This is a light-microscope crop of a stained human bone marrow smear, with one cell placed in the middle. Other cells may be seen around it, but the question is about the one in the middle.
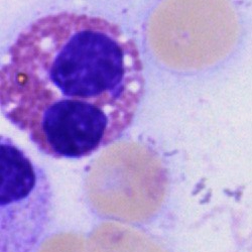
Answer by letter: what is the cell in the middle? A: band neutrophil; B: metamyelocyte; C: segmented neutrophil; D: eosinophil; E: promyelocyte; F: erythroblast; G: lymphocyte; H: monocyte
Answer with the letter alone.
D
